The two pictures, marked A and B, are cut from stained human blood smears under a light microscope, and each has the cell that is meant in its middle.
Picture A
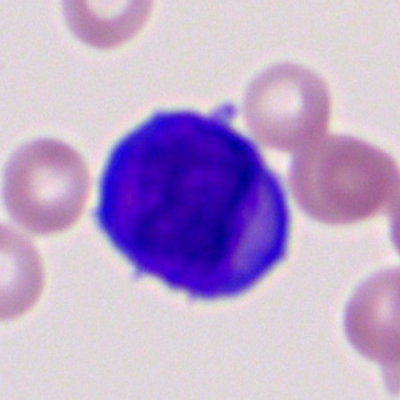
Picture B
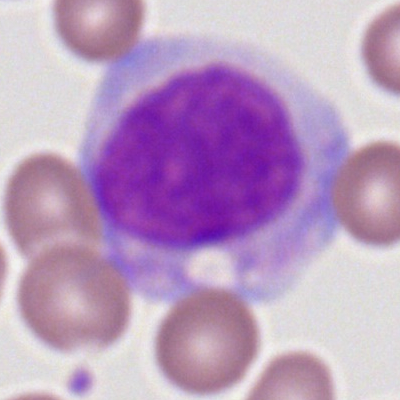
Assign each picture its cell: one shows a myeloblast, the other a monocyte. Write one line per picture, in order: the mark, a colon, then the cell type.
A: myeloblast
B: monocyte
